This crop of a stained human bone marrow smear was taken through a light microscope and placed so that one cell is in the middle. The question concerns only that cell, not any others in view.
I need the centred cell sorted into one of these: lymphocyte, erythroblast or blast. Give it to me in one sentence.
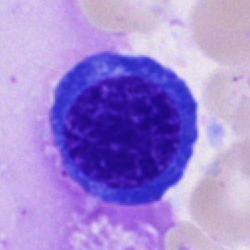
At the middle of the frame sits an erythroblast.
